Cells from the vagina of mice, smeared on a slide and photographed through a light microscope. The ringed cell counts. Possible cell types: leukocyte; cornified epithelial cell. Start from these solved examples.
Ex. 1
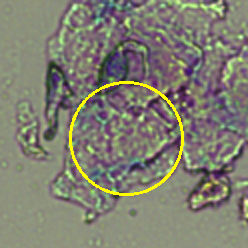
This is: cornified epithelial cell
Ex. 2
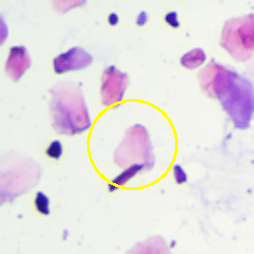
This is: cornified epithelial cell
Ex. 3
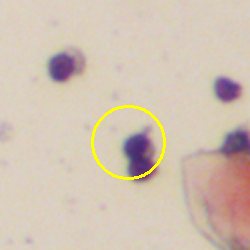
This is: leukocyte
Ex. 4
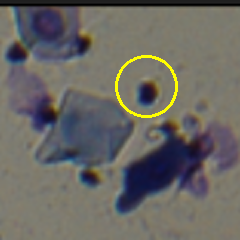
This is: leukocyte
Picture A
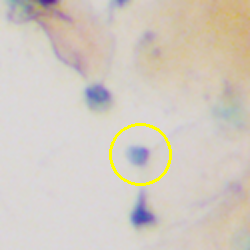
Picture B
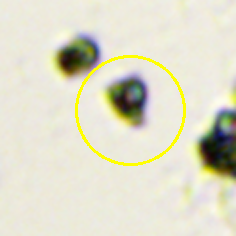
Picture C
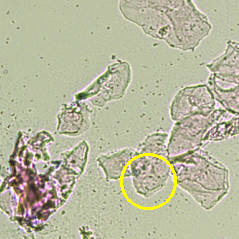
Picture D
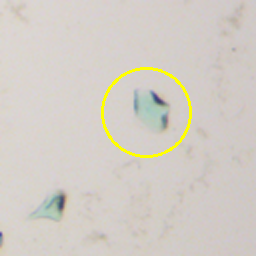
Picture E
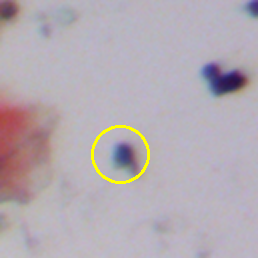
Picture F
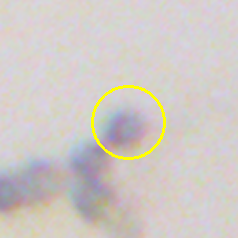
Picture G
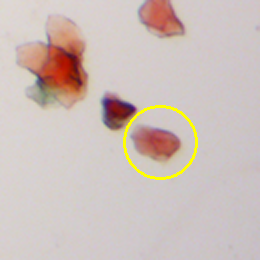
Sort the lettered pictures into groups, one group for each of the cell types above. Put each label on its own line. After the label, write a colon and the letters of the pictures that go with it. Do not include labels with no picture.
leukocyte: A, B, E, F
cornified epithelial cell: C, D, G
